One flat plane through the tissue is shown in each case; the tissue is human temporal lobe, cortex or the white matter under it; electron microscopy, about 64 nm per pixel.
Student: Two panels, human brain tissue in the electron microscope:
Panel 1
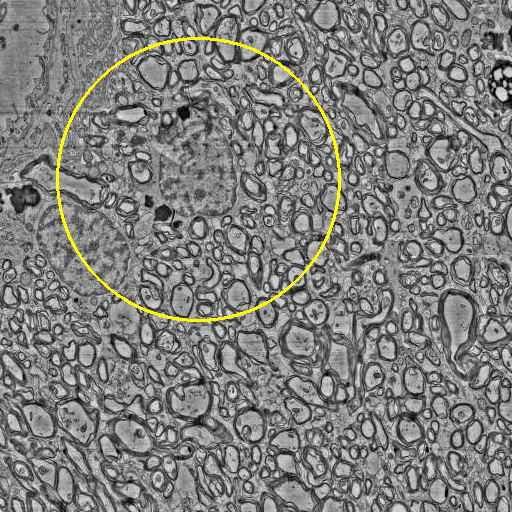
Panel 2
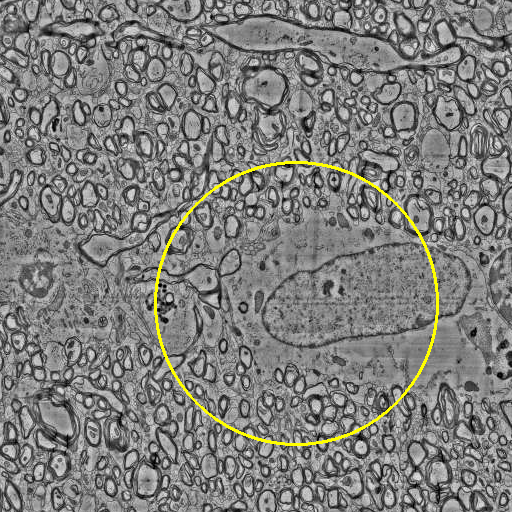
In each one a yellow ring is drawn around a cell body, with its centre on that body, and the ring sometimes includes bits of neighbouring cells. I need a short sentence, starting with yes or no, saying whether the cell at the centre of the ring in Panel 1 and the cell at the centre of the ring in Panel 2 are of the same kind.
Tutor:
No, they are two kinds of cell.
